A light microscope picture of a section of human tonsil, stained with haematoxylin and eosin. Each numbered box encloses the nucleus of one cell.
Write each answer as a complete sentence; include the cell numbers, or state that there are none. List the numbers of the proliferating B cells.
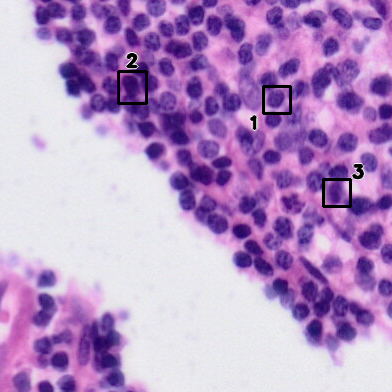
Mind that only cell 3 is a proliferating B cell, none of the rest.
